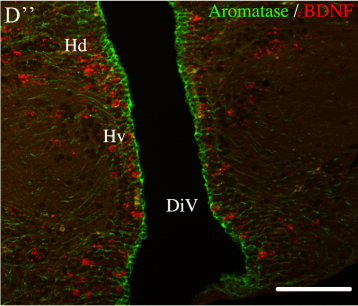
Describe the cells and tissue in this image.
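This is brain tissue on both sides of a narrow ventricle, with radial glial cells and scattered other brain cells. The radial glial cell bodies, green, form a tight continuous band lining each wall of the dark ventricular space. From this lining, thin green processes run outward, more or less in parallel, deep into the surrounding tissue.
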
